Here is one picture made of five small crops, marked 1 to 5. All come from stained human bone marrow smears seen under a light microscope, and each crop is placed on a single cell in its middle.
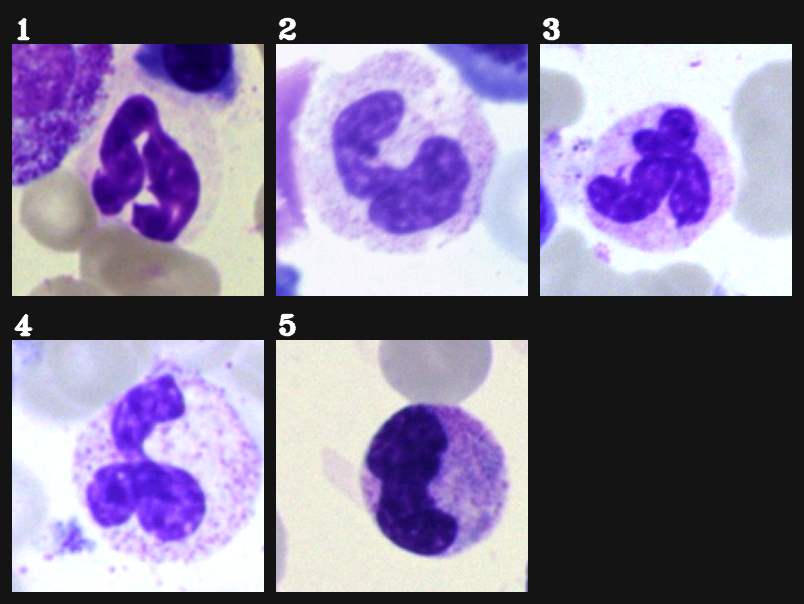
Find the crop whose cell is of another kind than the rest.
5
